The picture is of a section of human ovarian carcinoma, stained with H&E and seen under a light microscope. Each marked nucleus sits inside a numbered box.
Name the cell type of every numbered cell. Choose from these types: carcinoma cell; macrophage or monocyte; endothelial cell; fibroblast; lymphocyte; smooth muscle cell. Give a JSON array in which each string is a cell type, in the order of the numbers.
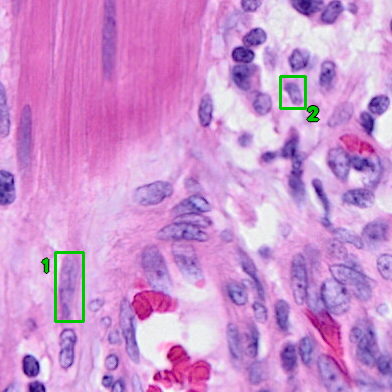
["fibroblast", "macrophage or monocyte"]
